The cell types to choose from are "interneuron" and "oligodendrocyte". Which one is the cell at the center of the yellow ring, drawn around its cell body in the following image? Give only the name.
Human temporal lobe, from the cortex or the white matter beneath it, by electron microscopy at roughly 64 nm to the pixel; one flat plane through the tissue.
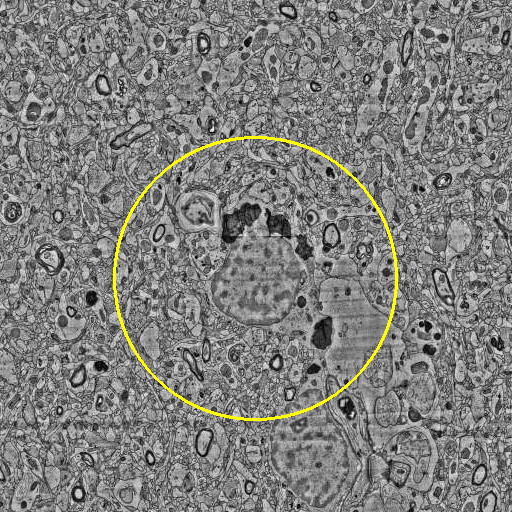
oligodendrocyte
